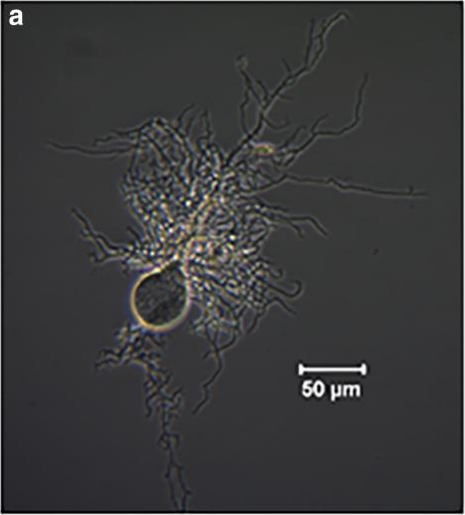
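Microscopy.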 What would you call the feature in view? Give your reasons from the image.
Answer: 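A single rounded, refractile body sits at one edge of the growth. A dense mass of branching filaments spreads out from that one body.
Hence: monocentric thalli.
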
